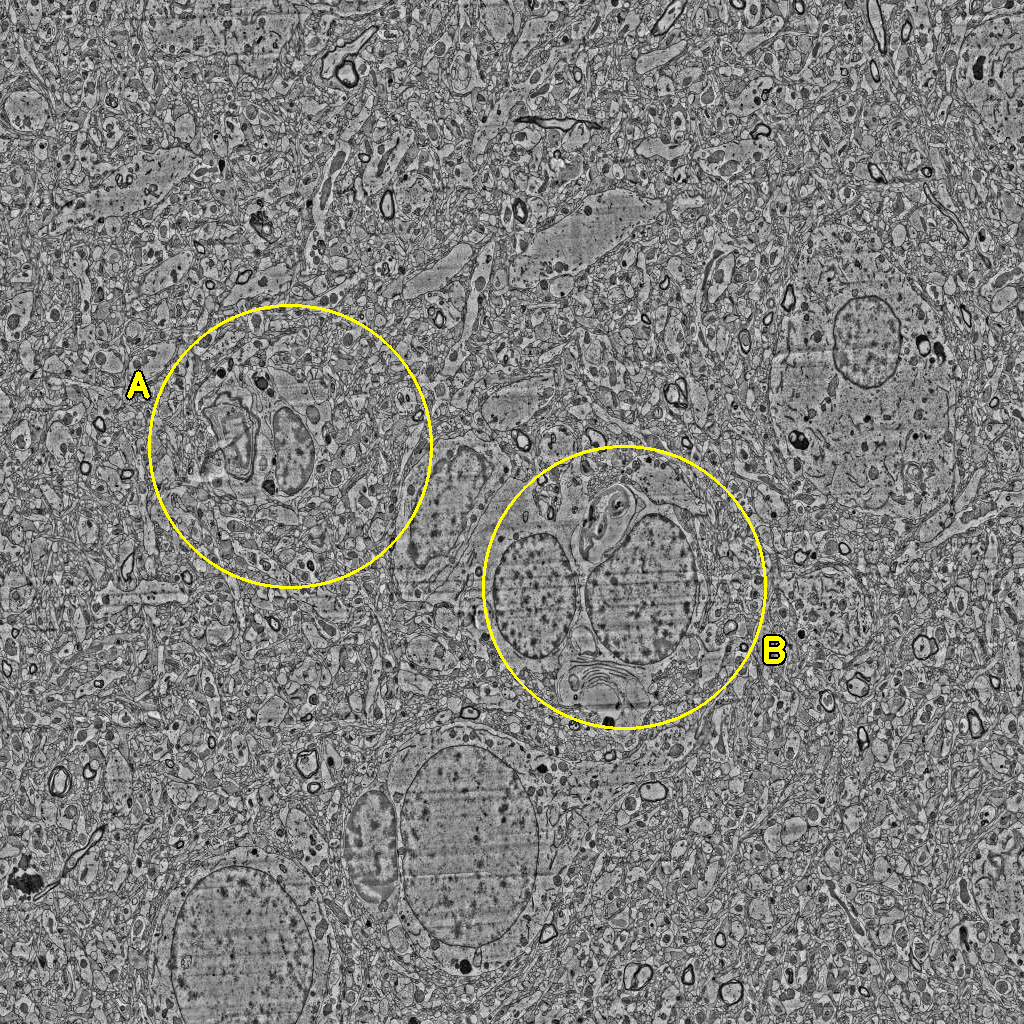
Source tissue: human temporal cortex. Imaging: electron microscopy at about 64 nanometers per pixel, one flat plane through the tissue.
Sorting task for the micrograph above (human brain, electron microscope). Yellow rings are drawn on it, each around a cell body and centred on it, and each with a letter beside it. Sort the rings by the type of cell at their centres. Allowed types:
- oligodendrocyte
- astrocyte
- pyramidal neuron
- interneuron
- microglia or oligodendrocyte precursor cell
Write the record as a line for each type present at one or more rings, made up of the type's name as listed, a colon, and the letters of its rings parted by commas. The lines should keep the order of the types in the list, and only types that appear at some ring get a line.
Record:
astrocyte: B
microglia or oligodendrocyte precursor cell: A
